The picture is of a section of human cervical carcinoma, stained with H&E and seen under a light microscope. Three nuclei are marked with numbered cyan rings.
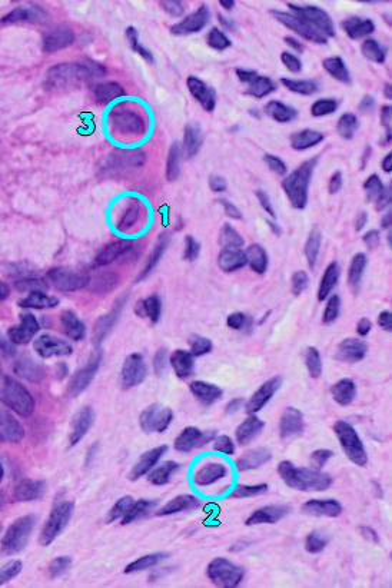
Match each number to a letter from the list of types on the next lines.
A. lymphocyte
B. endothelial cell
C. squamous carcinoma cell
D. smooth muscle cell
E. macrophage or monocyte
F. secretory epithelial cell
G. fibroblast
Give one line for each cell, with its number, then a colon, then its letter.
1: F
2: G
3: F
